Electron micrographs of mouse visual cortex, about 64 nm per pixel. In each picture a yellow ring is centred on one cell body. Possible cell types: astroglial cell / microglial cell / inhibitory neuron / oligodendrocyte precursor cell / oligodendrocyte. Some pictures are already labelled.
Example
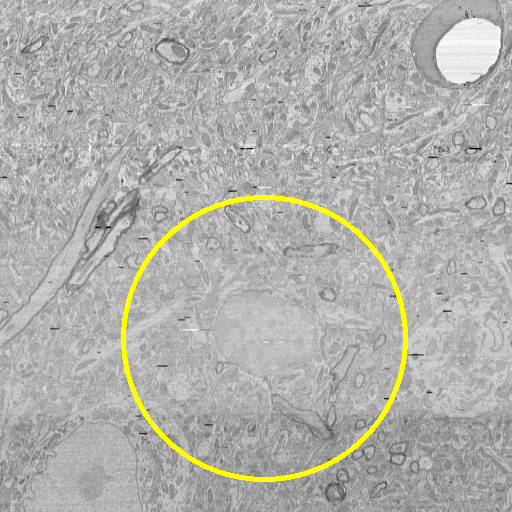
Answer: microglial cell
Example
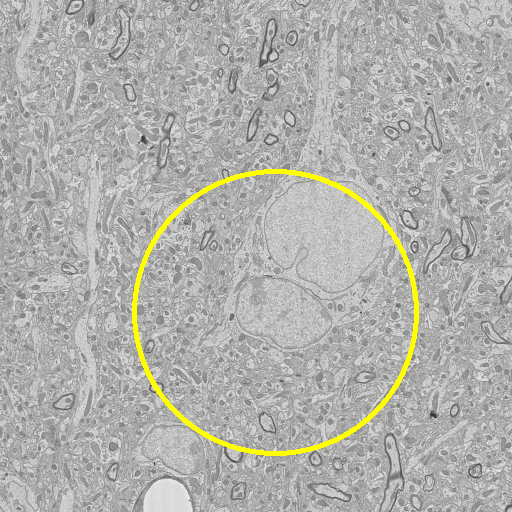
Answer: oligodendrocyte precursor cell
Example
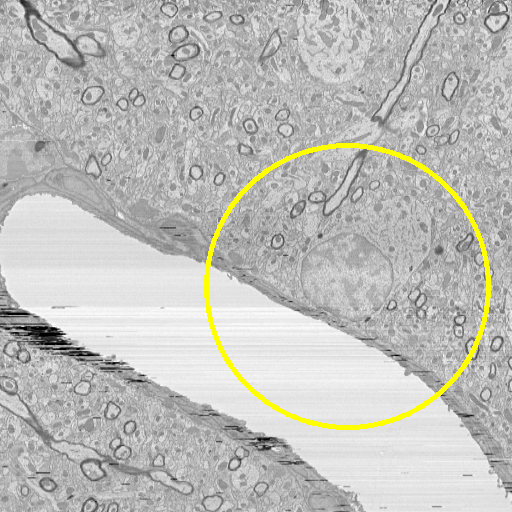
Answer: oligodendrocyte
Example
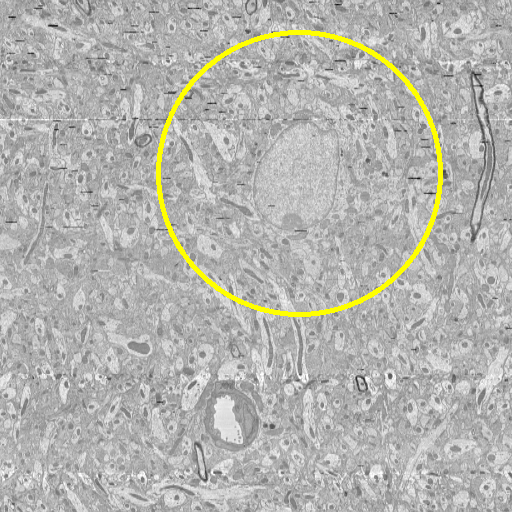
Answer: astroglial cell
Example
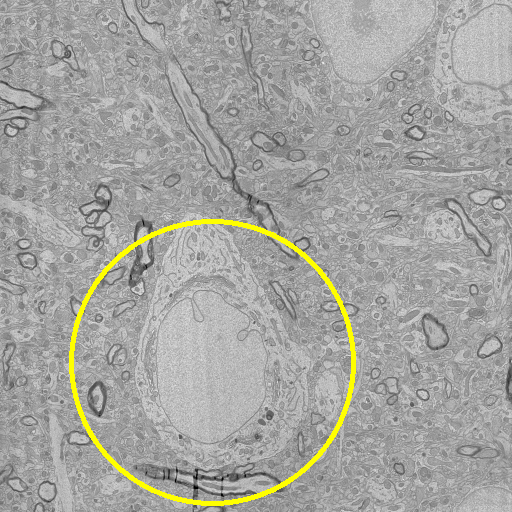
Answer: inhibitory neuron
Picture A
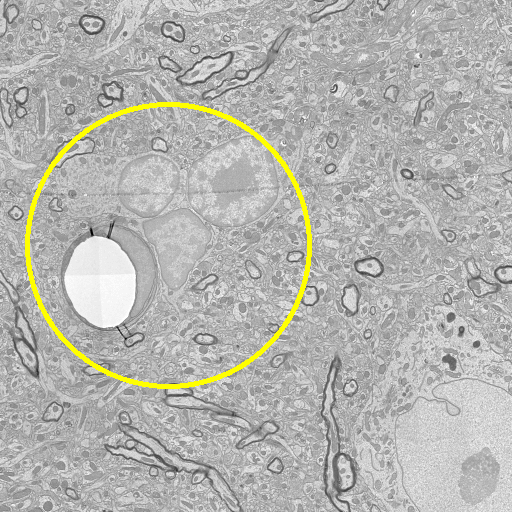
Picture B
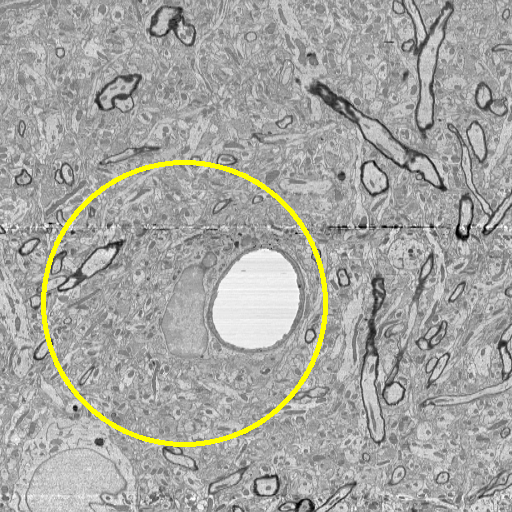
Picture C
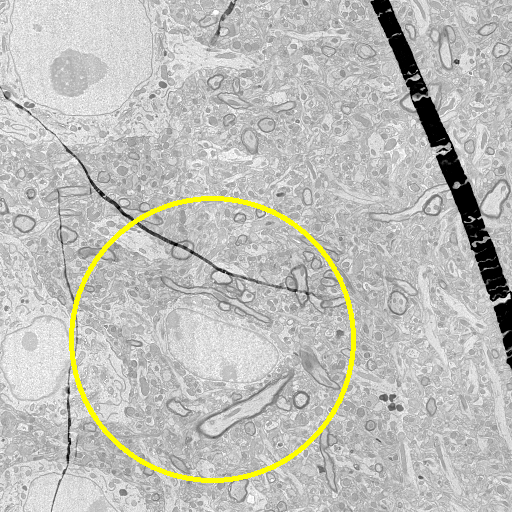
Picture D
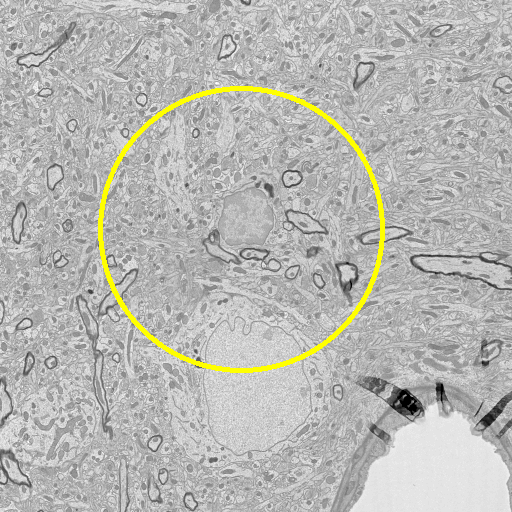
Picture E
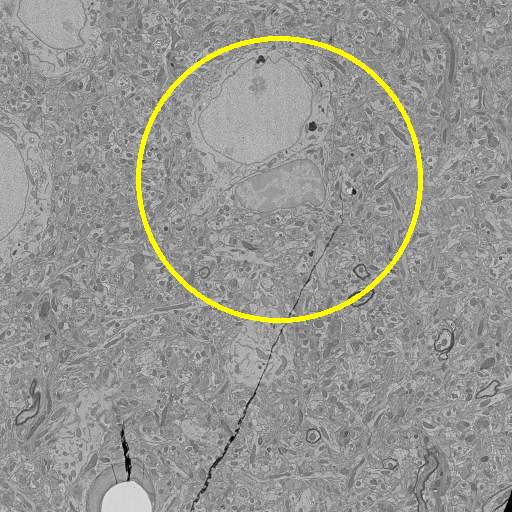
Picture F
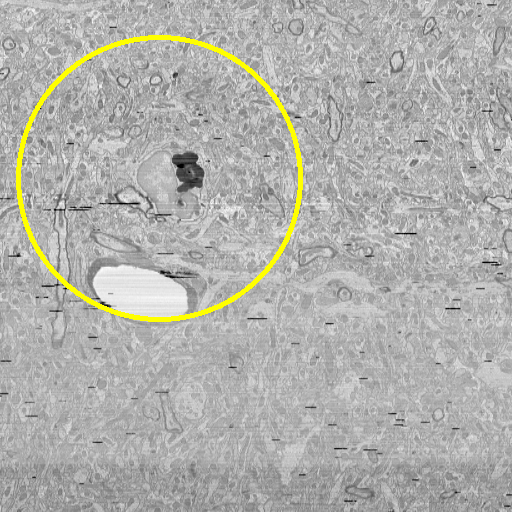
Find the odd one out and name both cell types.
Odd one out: C (astroglial cell). The rest: microglial cell.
